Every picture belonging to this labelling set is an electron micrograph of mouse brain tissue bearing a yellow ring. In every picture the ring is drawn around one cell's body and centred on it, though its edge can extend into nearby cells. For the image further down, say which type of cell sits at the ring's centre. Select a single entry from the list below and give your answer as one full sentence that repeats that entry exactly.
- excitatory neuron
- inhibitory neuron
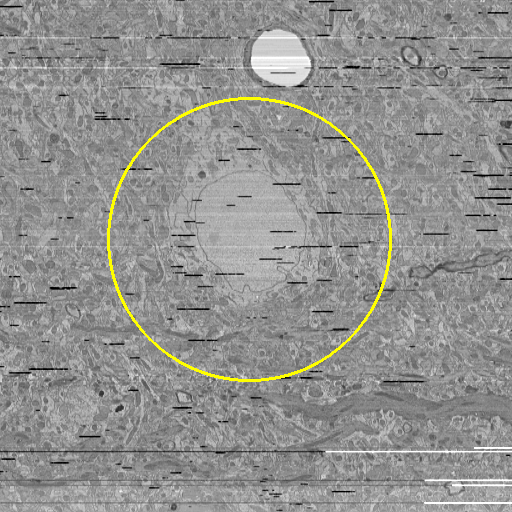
In the picture, an excitatory neuron is the cell at the centre of the yellow ring.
